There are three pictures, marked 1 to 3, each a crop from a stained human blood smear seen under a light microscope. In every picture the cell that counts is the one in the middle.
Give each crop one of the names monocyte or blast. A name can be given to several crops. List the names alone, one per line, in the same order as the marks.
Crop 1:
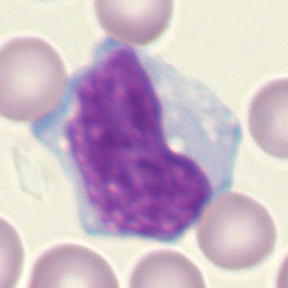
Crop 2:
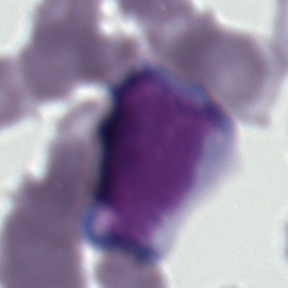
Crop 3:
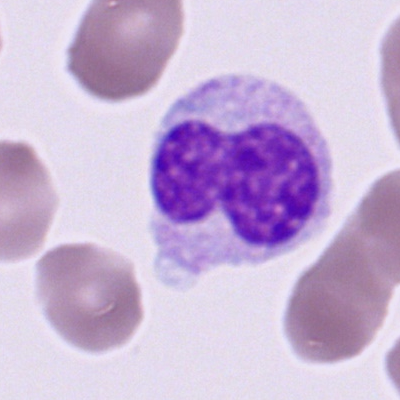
blast
blast
monocyte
